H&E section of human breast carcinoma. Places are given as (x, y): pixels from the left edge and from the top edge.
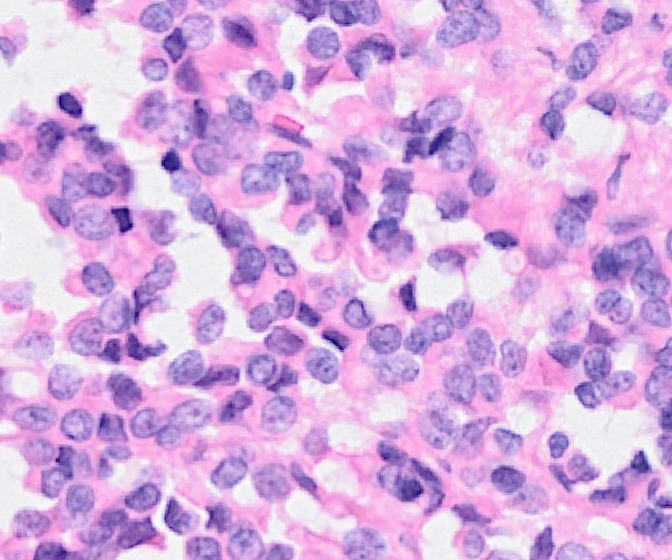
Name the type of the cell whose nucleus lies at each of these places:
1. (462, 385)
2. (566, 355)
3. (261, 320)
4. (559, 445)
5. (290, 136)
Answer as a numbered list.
1. carcinoma cell
2. carcinoma cell
3. carcinoma cell
4. lymphocyte
5. endothelial cell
